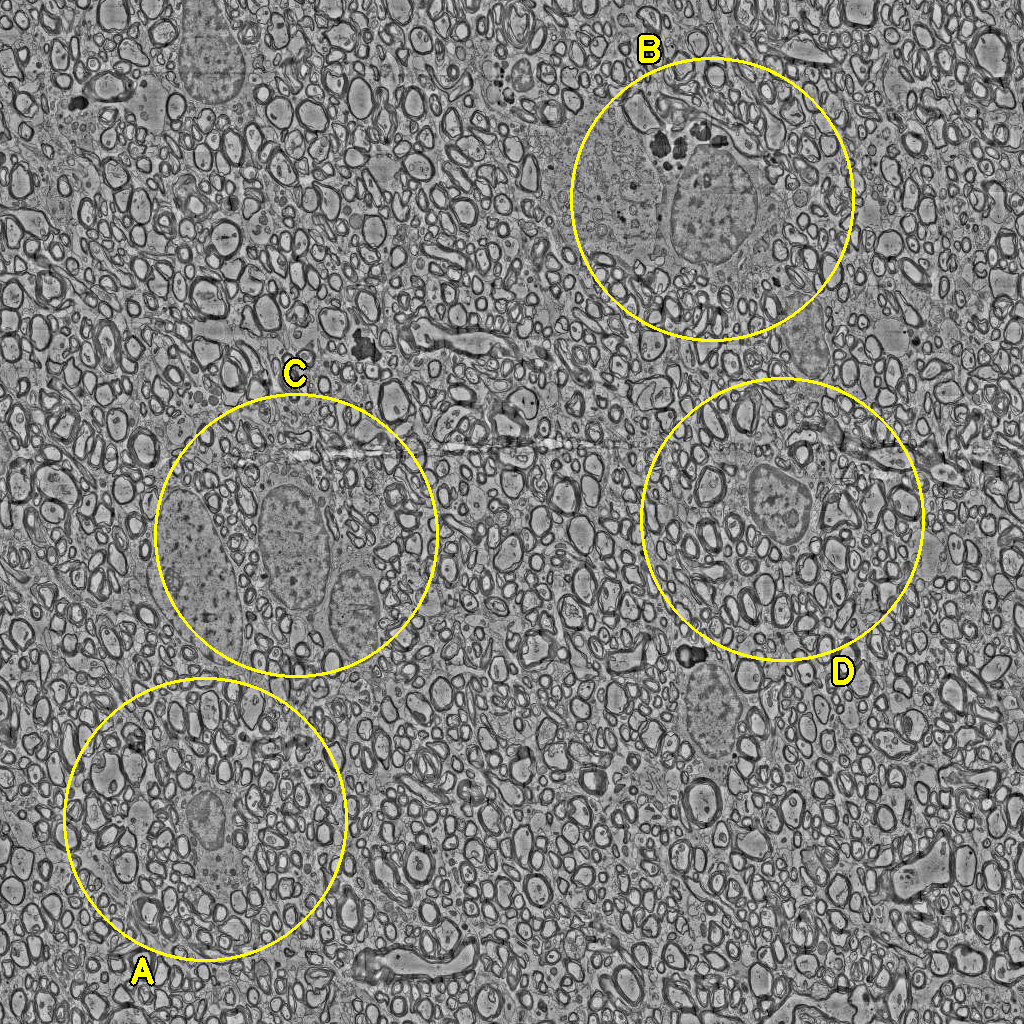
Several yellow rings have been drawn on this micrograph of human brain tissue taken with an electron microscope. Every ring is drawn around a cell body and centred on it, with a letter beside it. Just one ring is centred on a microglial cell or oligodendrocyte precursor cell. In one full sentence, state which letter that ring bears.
At the centre of ring D is a cell of that kind.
